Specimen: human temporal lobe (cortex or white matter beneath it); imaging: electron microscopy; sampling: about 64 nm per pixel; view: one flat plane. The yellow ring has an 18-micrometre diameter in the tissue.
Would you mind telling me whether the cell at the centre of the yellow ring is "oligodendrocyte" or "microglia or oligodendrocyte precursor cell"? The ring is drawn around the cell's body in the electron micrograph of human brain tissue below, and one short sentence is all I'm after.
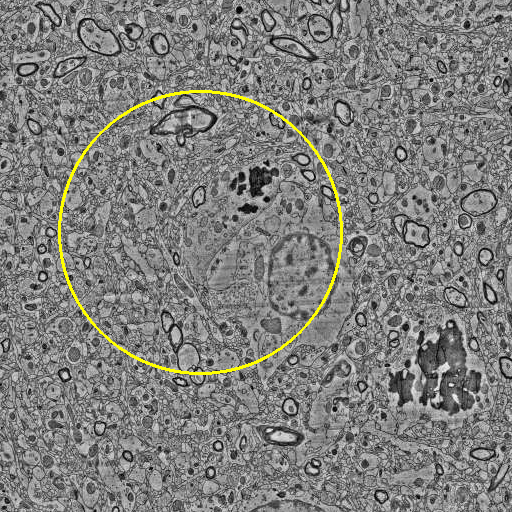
In the centre of the ring lies an oligodendrocyte.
